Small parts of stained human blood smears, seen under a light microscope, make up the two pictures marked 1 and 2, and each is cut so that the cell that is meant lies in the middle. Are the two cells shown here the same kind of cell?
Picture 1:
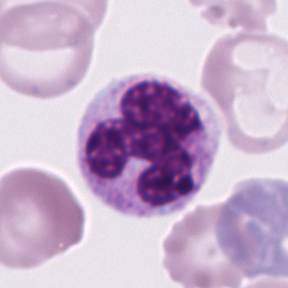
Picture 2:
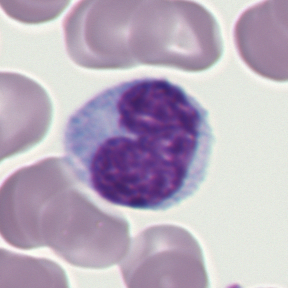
no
